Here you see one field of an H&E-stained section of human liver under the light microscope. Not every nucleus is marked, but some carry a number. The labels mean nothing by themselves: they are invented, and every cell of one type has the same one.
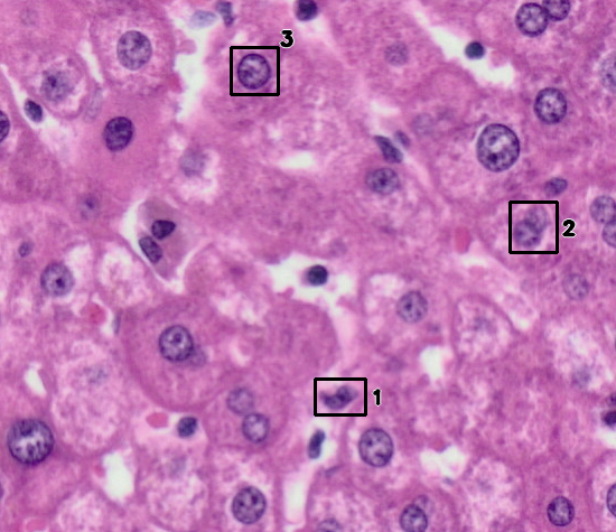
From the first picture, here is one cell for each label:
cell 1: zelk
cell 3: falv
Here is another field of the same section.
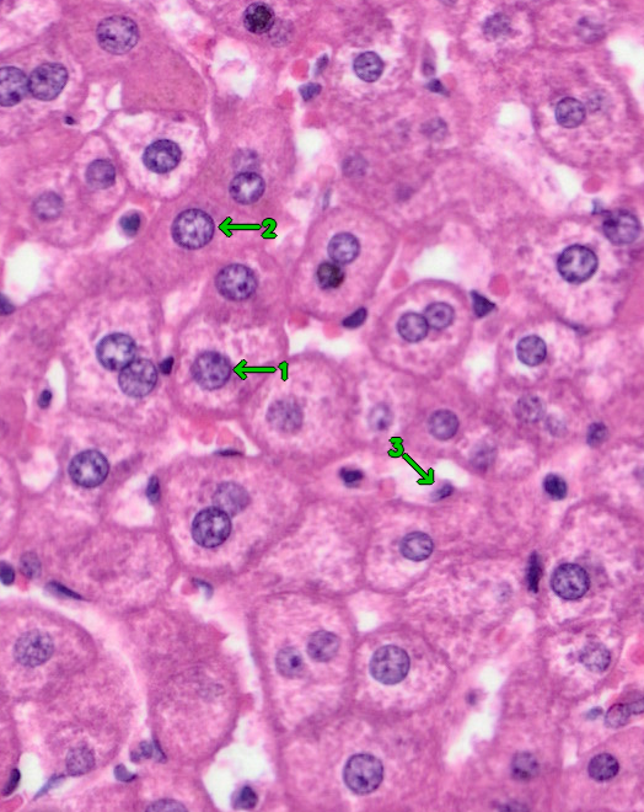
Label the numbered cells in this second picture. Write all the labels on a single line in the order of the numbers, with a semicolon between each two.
falv; falv; zelk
